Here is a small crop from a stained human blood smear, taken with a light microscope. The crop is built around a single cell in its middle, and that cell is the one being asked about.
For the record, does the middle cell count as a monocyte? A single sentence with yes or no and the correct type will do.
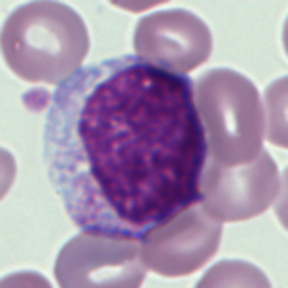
No, the cell at the centre is identified as a myelocyte, not as a monocyte.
